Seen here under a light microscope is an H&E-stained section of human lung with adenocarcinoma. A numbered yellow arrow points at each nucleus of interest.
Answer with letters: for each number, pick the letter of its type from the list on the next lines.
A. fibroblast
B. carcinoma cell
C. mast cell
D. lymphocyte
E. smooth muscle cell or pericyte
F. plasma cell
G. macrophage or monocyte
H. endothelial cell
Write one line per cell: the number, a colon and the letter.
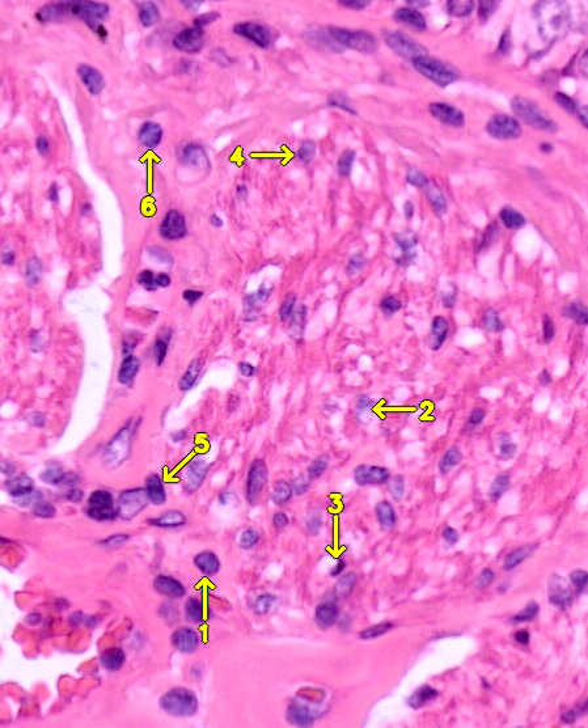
1: C
2: E
3: E
4: E
5: D
6: C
